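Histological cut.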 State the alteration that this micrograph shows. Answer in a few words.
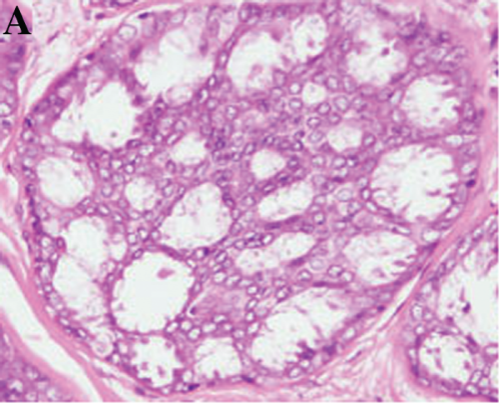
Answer: cribiform variety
